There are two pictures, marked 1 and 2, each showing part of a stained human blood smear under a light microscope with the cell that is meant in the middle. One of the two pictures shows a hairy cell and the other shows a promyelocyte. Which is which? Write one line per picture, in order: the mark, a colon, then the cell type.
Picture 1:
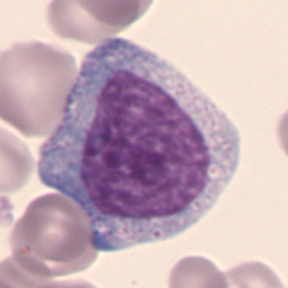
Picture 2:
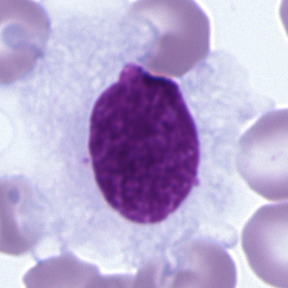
1: promyelocyte
2: hairy cell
